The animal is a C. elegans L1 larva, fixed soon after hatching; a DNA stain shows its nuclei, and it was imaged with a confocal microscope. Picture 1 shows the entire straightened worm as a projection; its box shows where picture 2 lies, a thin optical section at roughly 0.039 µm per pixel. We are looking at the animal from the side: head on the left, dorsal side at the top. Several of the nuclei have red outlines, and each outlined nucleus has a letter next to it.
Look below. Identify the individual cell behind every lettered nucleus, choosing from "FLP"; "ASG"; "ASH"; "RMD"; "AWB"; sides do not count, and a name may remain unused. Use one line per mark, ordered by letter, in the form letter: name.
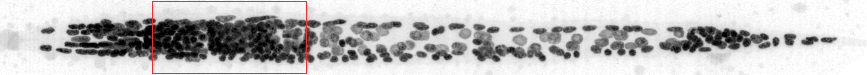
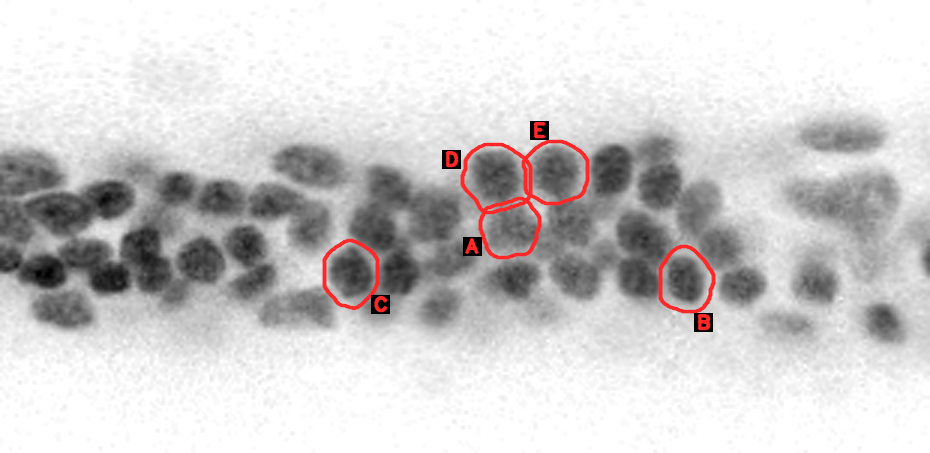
A: ASH
B: FLP
C: RMD
D: AWB
E: ASG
